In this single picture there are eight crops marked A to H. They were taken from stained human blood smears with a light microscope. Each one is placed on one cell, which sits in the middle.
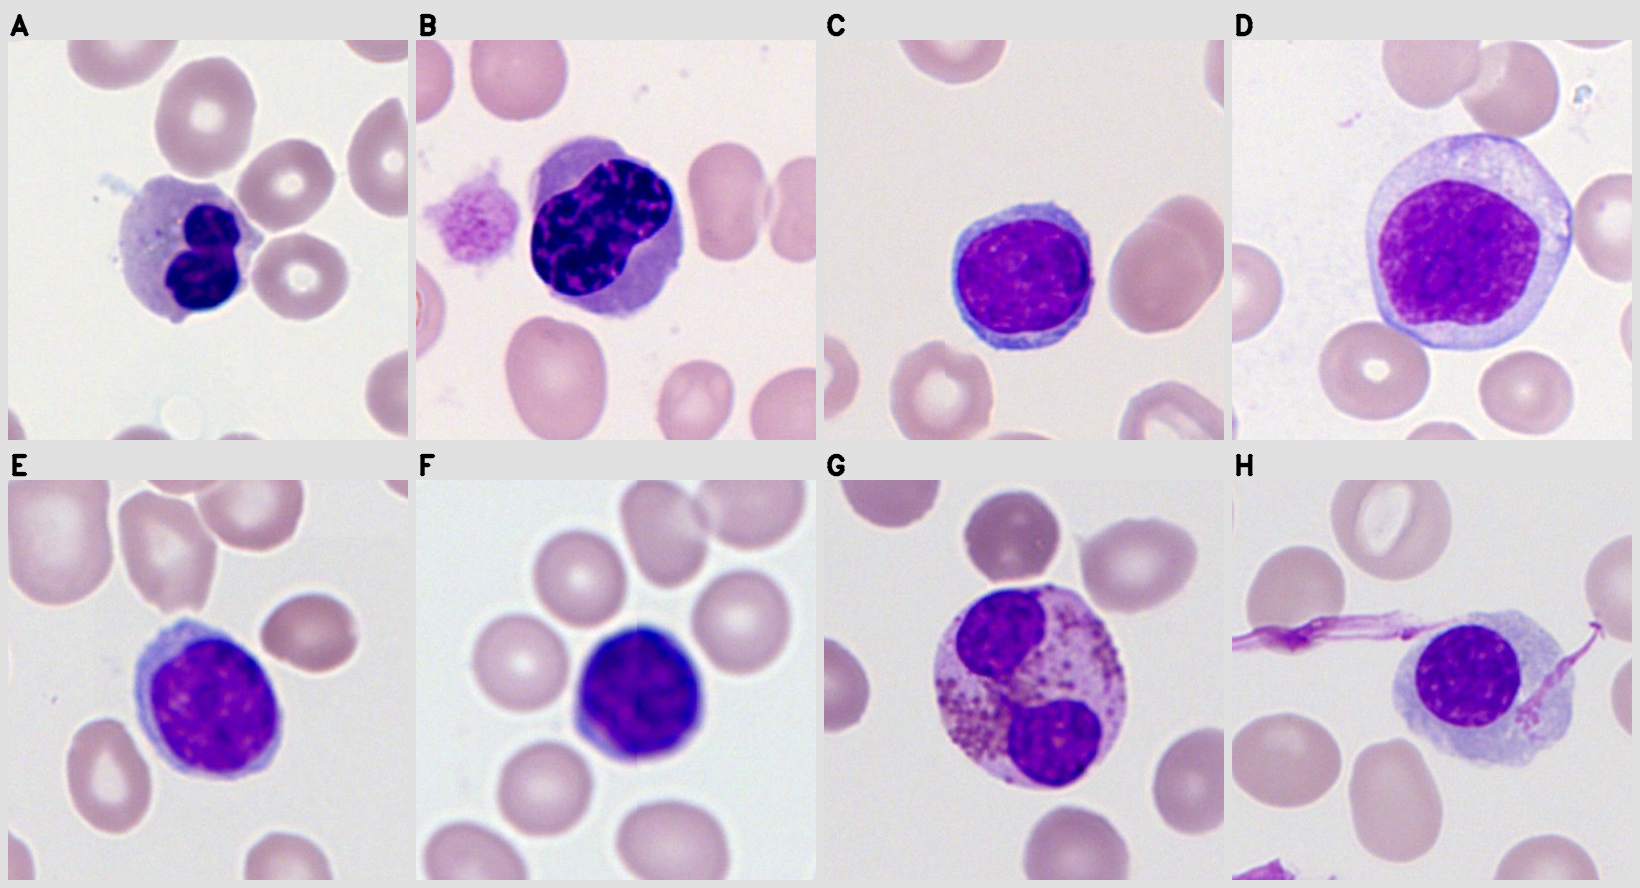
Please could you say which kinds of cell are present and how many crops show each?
lymphocyte: 4
erythroblast: 3
eosinophil: 1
